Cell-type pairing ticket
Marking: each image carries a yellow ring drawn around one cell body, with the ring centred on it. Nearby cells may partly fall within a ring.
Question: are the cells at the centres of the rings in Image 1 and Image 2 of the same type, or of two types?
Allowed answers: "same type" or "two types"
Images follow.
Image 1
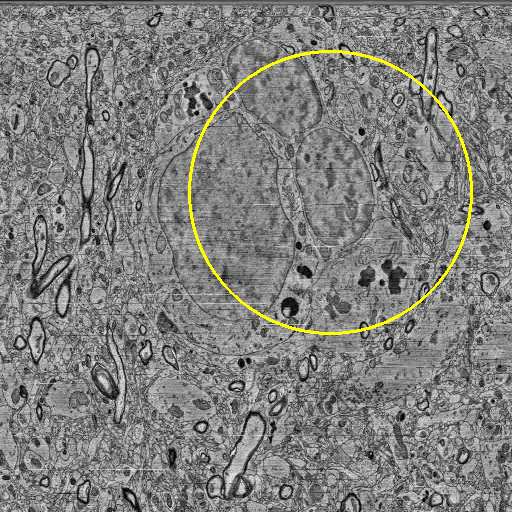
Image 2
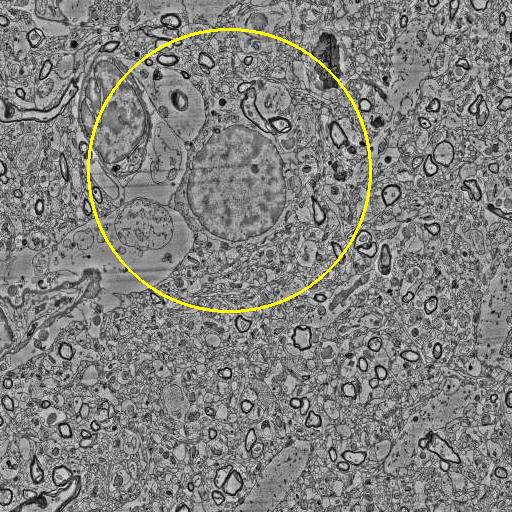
same type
